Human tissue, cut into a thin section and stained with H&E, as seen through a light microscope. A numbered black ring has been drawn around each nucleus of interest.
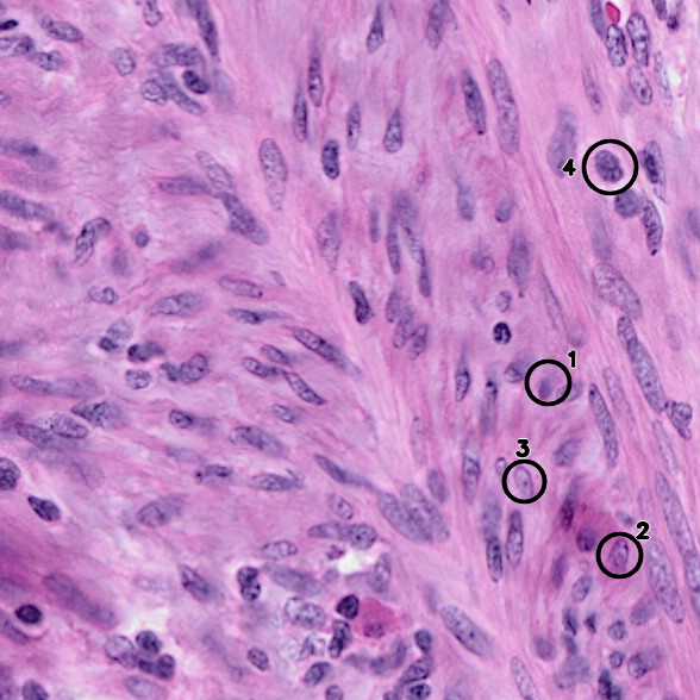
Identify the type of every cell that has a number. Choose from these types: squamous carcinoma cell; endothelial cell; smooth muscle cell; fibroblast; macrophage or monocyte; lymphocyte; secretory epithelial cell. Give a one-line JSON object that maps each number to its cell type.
{"1": "smooth muscle cell", "2": "smooth muscle cell", "3": "smooth muscle cell", "4": "lymphocyte"}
